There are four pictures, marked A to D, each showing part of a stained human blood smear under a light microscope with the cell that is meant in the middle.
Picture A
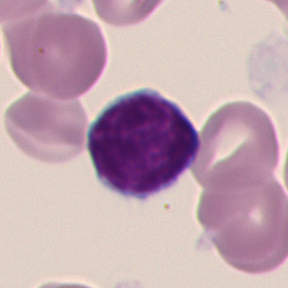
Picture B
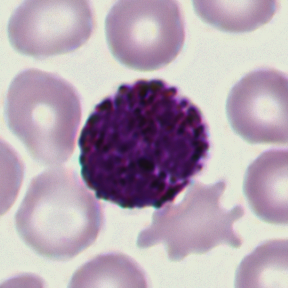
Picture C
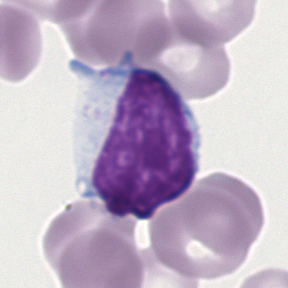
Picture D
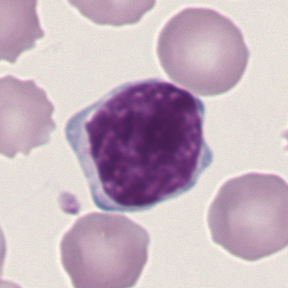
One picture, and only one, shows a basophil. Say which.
B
